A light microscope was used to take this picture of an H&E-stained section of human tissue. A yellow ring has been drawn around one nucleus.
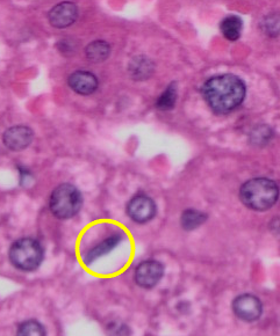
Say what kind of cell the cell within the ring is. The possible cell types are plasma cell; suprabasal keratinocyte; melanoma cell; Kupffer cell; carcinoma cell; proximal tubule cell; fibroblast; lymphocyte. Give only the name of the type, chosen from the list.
Kupffer cell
